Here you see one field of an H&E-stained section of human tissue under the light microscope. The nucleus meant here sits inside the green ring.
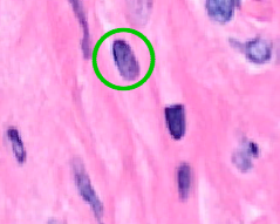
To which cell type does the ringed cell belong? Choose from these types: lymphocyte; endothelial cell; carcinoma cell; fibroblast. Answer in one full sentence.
In cell-type terms, the ringed cell is a lymphocyte.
